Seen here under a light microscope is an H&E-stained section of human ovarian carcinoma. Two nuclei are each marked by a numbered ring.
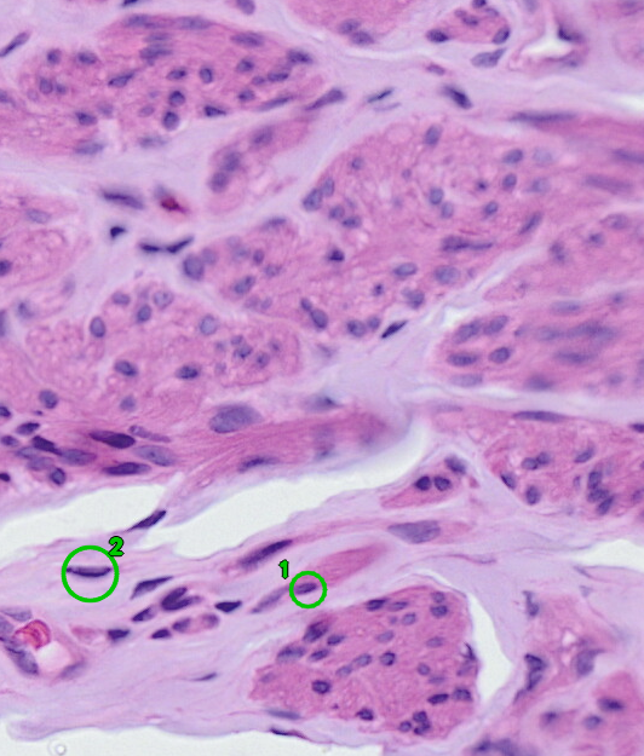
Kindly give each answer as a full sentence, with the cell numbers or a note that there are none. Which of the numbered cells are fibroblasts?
The numbered cells include exactly one that is a fibroblast, which is cell 2.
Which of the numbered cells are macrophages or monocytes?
As regards the numbered cells, macrophages or monocytes are not represented.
